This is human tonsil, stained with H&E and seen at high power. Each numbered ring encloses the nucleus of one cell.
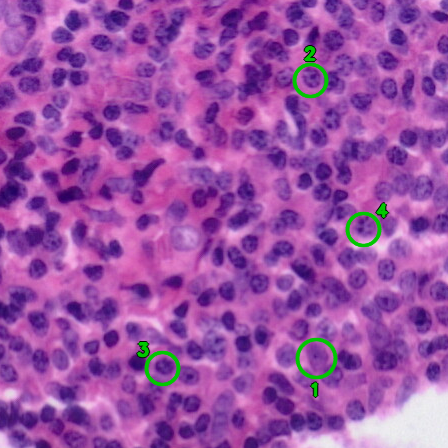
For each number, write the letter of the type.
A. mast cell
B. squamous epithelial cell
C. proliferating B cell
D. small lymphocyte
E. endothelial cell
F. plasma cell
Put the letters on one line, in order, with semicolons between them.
B; F; F; F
